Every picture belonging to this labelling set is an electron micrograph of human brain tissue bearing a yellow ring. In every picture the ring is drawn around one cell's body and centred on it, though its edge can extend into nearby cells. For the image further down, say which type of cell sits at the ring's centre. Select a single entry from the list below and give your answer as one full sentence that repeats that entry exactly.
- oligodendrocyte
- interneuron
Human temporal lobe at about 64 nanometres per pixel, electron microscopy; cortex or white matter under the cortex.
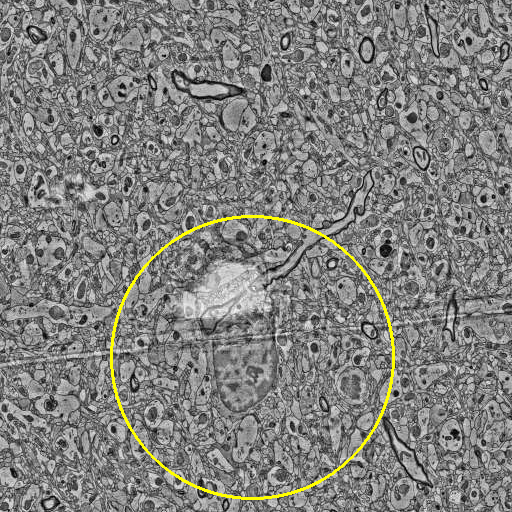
In the picture, an oligodendrocyte is the cell at the centre of the yellow ring.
